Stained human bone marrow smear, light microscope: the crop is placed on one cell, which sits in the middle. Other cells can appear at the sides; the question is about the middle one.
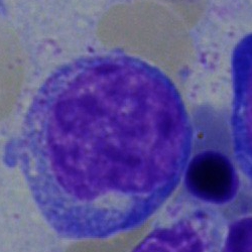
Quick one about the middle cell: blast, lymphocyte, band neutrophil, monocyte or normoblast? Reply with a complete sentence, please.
The cell found in the middle of this crop is a blast.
